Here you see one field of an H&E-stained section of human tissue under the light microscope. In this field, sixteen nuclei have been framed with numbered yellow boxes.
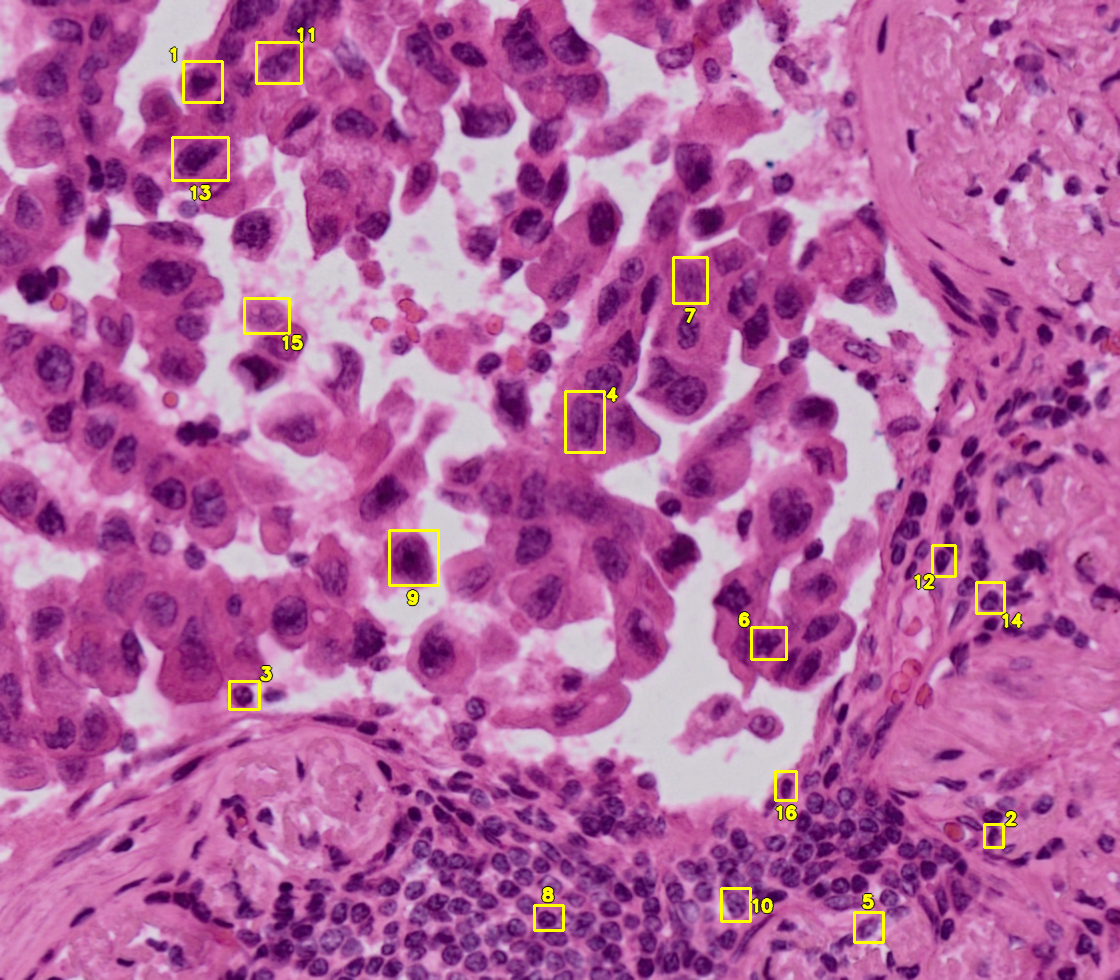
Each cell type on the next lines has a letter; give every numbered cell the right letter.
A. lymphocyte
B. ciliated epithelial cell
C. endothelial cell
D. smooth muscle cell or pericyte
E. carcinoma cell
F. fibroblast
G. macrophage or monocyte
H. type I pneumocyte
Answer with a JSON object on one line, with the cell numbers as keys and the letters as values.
{"1": "E", "2": "A", "3": "A", "4": "E", "5": "A", "6": "E", "7": "E", "8": "A", "9": "E", "10": "A", "11": "E", "12": "A", "13": "E", "14": "A", "15": "E", "16": "A"}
